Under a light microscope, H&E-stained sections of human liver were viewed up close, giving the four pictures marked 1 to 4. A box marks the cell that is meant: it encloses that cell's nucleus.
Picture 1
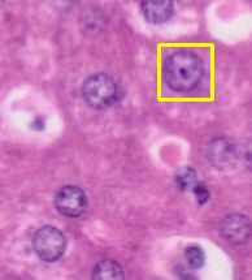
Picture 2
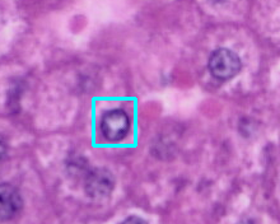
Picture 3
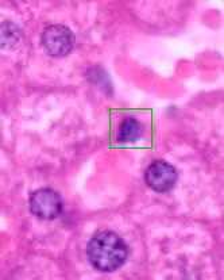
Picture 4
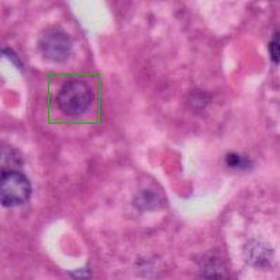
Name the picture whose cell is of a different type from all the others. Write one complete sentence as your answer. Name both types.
The different one is picture 3; it shows a “fibroblast or stellate cell”, whereas all the others show hepatocytes.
